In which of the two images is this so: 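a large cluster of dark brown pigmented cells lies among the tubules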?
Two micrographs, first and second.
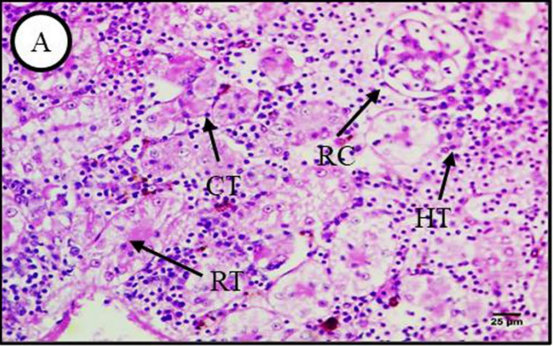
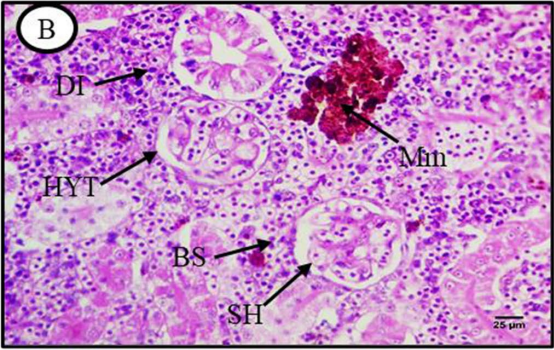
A: The second image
